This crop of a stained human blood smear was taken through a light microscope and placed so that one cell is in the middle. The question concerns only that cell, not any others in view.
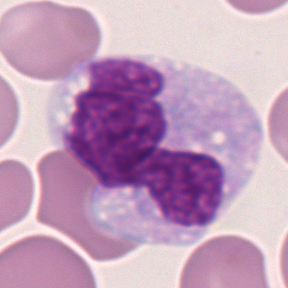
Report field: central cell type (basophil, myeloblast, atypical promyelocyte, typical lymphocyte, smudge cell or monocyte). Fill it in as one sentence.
The crop centres on a single cell, and that cell is a monocyte.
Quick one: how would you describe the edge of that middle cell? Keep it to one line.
Edge check done: smooth outline, no projections present.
